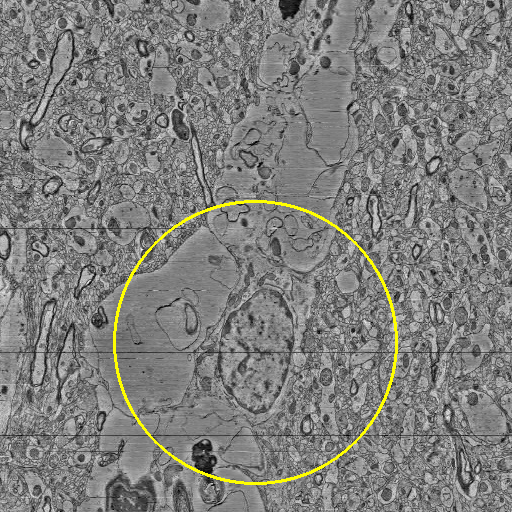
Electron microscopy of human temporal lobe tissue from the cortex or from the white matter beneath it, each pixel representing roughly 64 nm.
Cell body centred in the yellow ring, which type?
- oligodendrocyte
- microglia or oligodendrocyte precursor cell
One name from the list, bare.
microglia or oligodendrocyte precursor cell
